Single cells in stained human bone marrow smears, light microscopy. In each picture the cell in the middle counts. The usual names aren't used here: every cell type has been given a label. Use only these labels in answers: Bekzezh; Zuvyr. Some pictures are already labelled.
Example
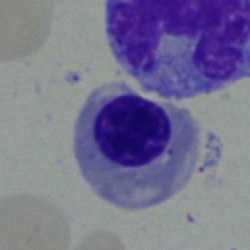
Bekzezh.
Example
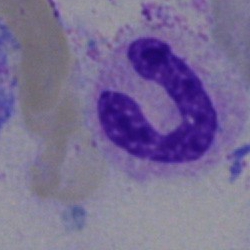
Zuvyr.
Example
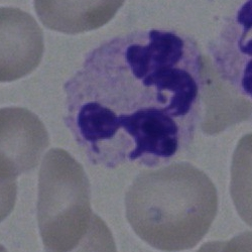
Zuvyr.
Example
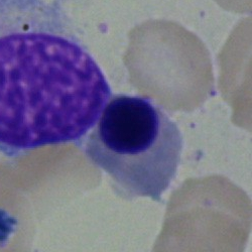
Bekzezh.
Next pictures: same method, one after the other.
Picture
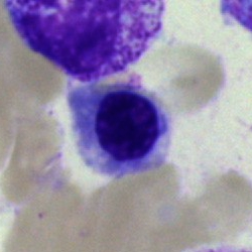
Bekzezh.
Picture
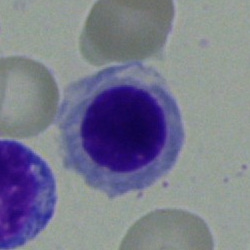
Bekzezh.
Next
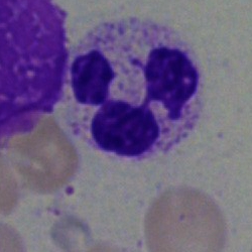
Zuvyr.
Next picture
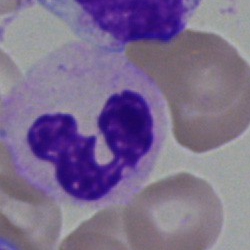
Zuvyr.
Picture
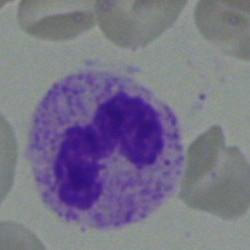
Zuvyr.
